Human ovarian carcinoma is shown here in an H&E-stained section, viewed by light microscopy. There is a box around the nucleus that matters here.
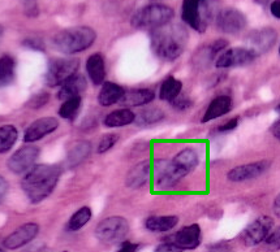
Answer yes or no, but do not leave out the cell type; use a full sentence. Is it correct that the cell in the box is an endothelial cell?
Yes, with respect to cell type, the cell in the box is an endothelial cell.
